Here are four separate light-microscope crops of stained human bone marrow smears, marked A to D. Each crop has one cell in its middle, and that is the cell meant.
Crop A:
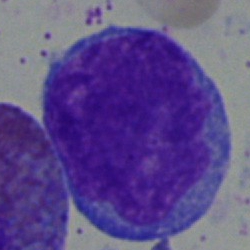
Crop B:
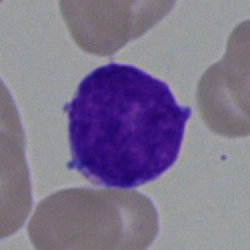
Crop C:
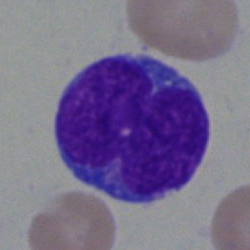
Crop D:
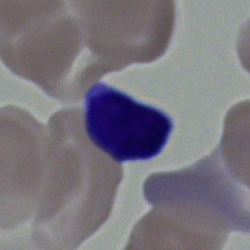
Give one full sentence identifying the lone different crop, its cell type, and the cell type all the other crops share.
Where the others show blasts, crop D shows a lymphocyte.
